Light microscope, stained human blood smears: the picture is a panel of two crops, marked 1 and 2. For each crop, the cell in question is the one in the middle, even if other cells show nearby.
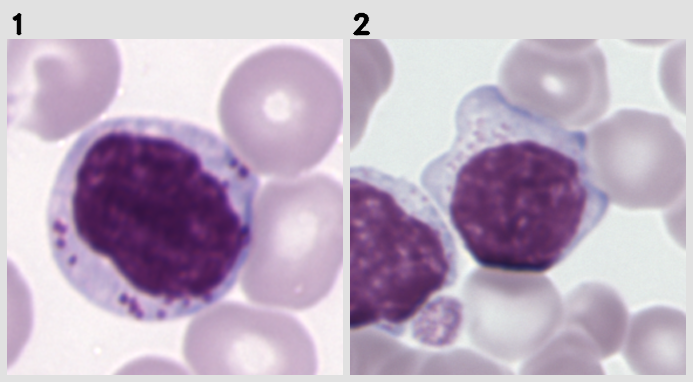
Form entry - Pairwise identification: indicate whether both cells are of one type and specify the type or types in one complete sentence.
Yes, the centre cells of both crops are large granular lymphocytes.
